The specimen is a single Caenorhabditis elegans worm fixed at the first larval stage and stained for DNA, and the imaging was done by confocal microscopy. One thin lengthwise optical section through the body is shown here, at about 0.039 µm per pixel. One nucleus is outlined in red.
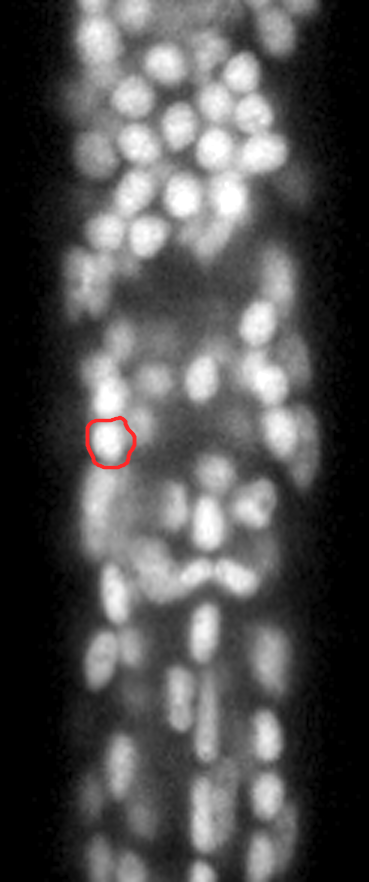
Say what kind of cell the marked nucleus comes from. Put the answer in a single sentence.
It is the nucleus of a neuron.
